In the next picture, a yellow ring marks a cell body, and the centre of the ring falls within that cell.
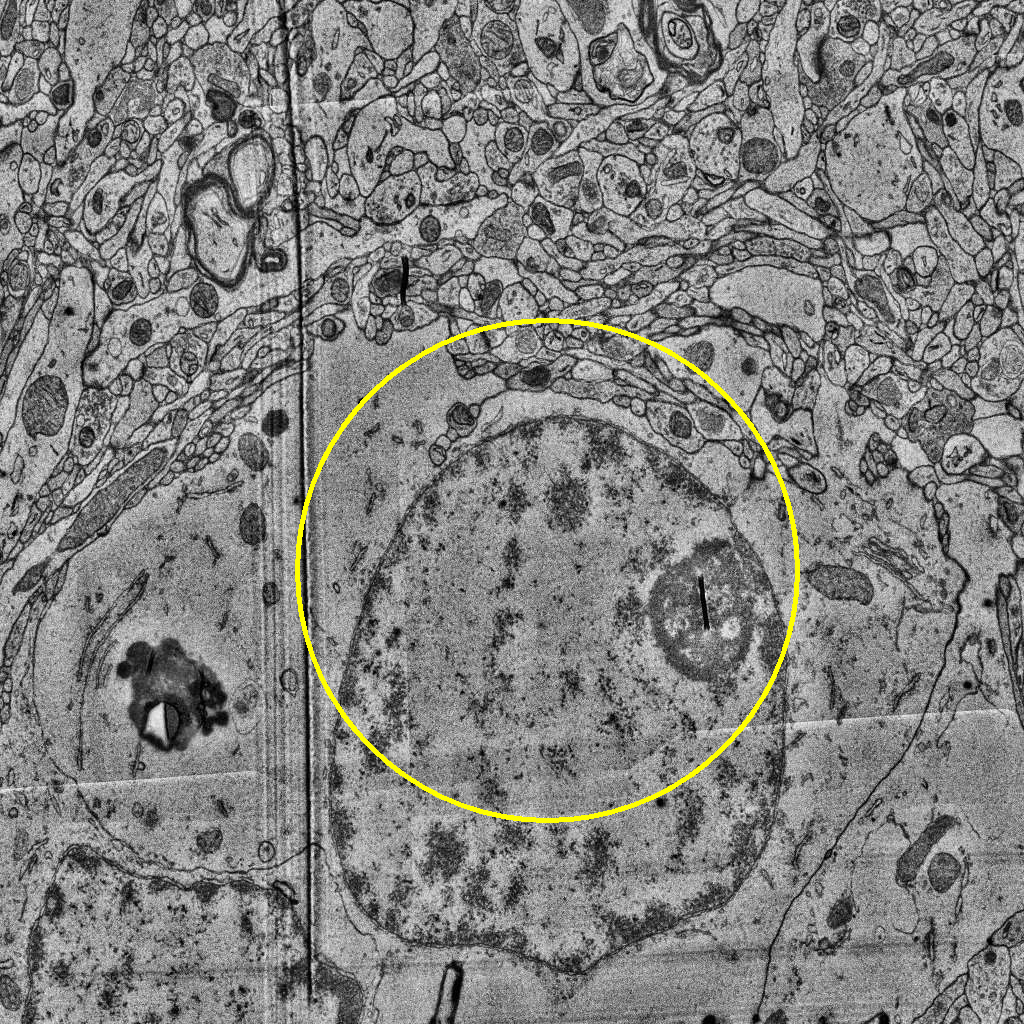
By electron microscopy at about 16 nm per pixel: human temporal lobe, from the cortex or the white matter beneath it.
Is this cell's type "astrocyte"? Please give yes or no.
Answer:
yes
